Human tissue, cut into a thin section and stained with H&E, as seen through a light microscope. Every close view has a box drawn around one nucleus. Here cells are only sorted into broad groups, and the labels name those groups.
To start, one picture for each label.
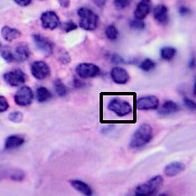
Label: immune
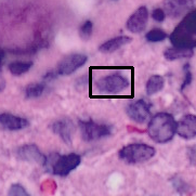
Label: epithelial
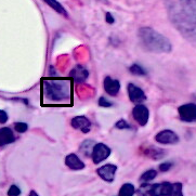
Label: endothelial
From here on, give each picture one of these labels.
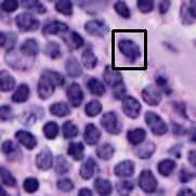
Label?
immune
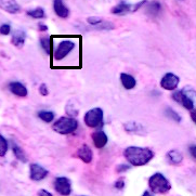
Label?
immune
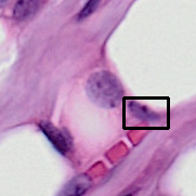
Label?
endothelial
